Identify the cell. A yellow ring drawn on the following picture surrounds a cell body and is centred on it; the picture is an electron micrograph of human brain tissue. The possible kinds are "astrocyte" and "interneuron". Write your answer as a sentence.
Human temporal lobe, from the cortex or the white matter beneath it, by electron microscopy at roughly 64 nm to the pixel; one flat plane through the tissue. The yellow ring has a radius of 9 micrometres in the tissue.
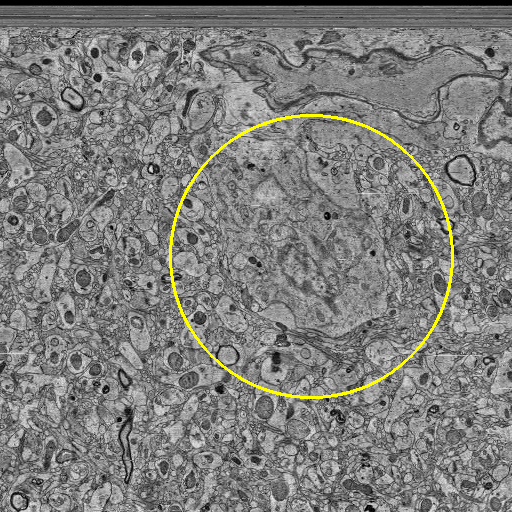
The cell identified by the ring is an interneuron.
